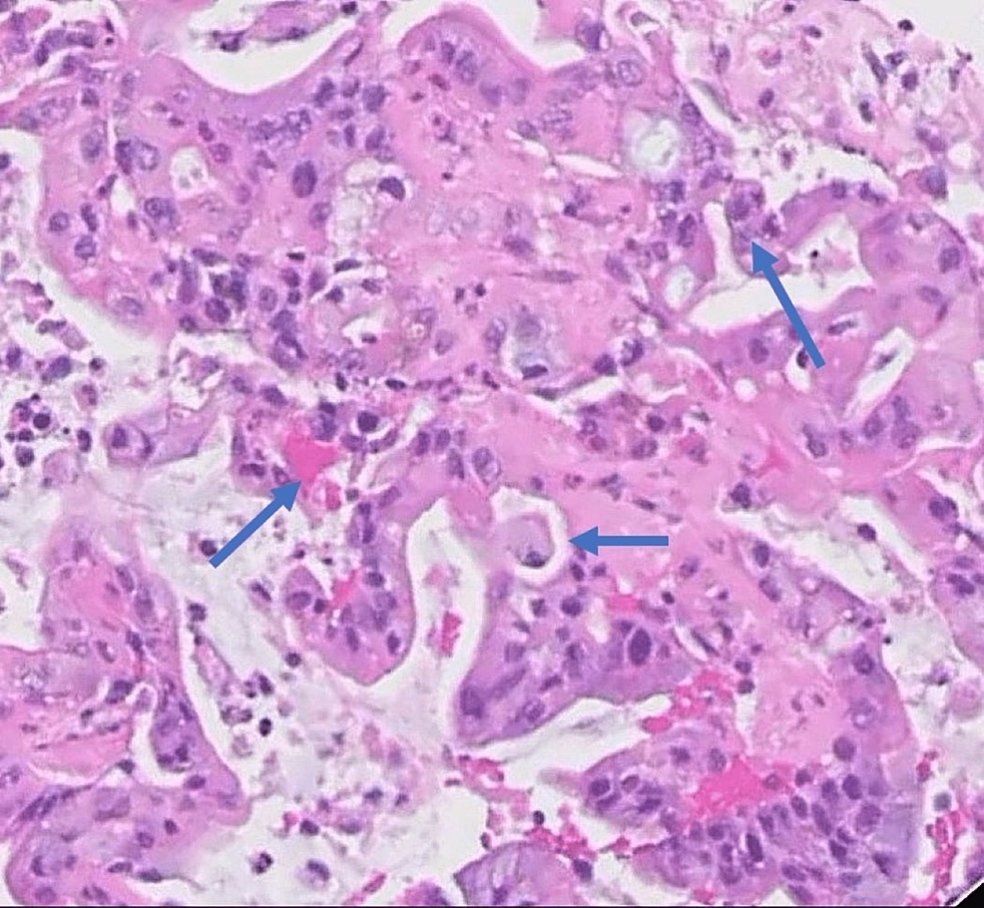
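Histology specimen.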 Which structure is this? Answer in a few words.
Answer: Glandular formation.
